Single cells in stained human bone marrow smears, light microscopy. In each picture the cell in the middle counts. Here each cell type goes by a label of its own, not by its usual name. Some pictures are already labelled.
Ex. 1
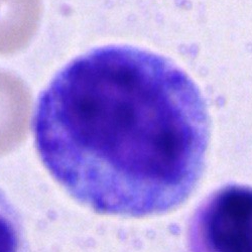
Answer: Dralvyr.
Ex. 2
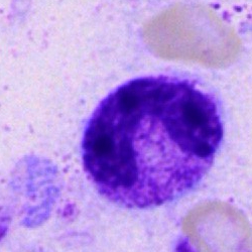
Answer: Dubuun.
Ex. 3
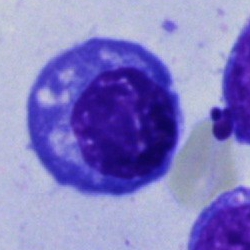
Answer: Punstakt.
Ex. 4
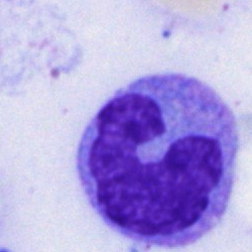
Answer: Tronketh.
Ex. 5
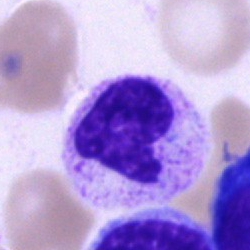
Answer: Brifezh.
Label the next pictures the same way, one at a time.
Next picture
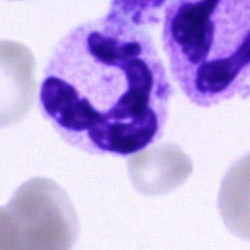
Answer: Brifezh.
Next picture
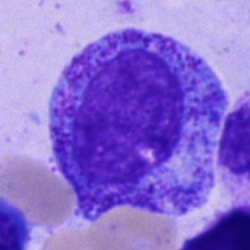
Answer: Dralvyr.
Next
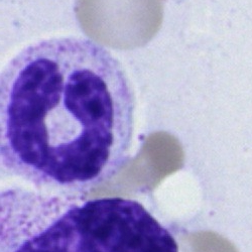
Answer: Dubuun.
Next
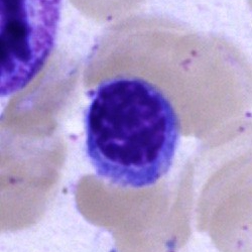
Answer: Punstakt.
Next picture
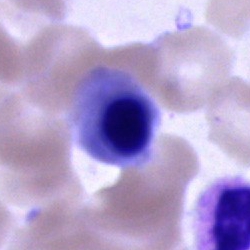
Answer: Punstakt.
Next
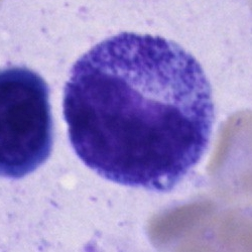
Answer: Dralvyr.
